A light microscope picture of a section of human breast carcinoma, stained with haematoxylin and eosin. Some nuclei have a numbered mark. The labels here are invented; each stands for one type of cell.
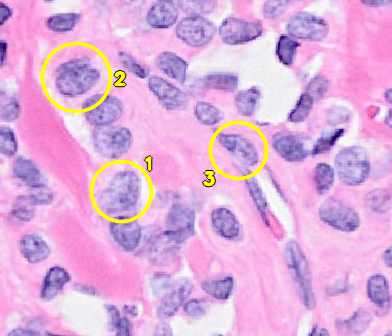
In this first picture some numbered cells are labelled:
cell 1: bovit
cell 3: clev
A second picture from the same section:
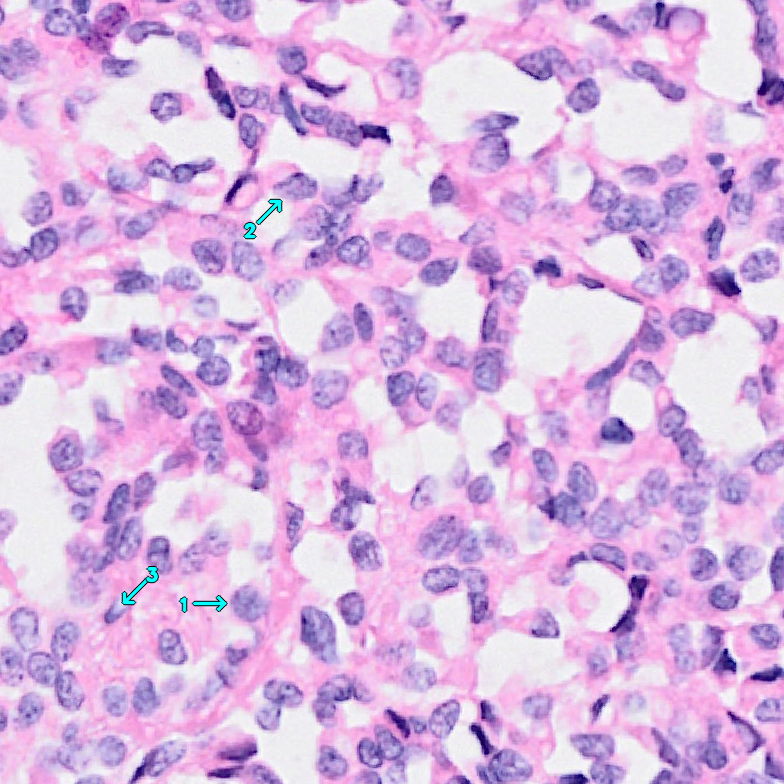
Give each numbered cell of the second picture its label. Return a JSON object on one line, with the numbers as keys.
{"1": "bovit", "2": "bovit", "3": "clev"}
